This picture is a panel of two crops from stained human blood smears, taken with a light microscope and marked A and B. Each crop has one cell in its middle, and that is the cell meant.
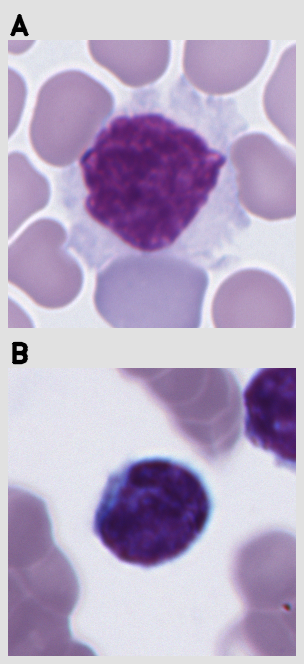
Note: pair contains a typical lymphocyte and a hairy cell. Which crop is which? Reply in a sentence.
Represented in crop A is a hairy cell; represented in crop B is a typical lymphocyte.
